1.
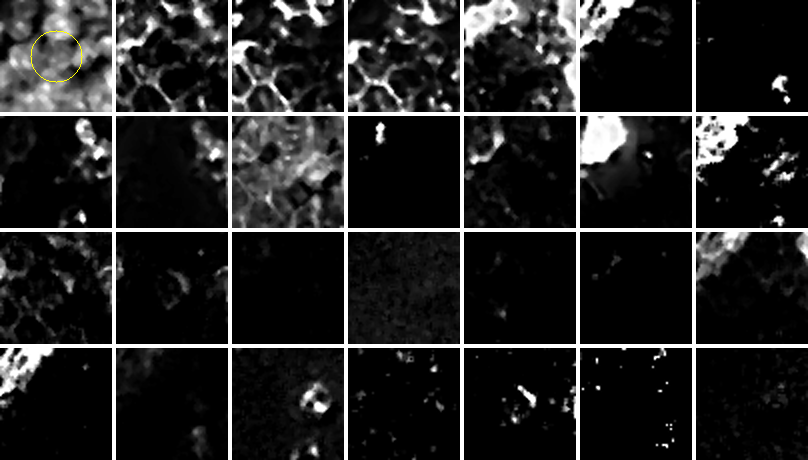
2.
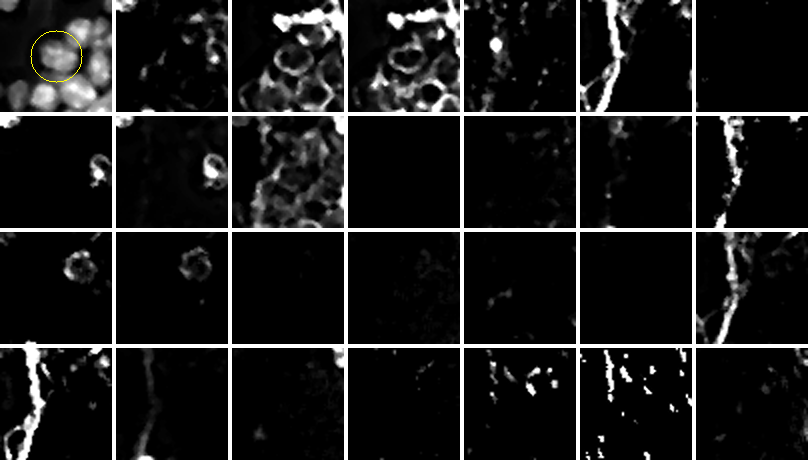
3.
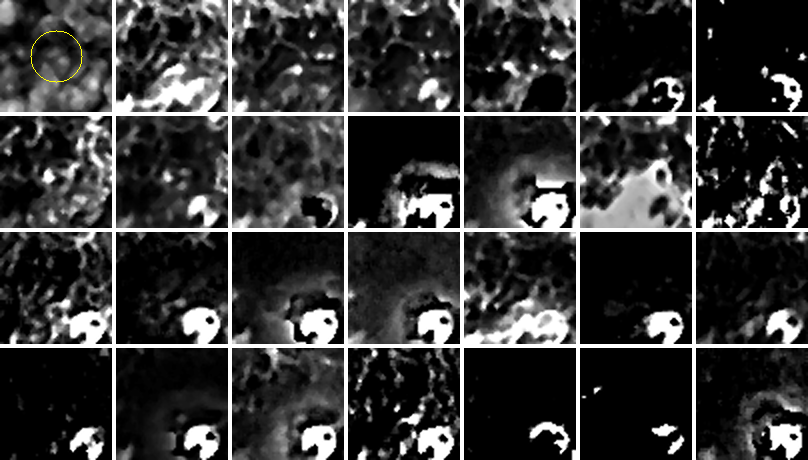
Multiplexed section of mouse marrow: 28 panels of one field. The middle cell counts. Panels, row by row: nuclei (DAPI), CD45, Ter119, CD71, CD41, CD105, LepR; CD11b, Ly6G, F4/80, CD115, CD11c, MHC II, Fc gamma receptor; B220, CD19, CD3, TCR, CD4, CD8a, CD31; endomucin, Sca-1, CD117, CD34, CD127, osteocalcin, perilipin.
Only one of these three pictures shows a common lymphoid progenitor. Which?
Picture 1.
